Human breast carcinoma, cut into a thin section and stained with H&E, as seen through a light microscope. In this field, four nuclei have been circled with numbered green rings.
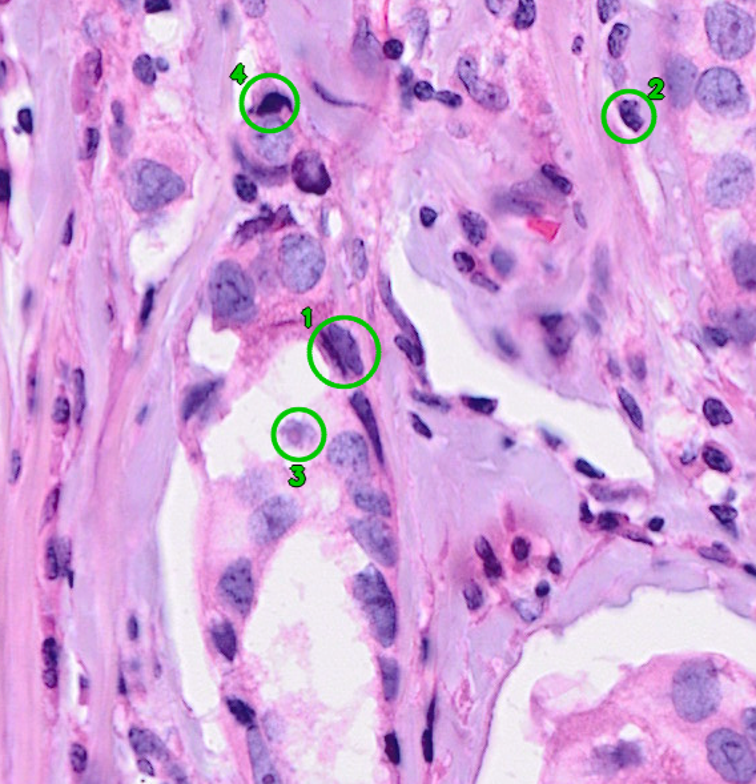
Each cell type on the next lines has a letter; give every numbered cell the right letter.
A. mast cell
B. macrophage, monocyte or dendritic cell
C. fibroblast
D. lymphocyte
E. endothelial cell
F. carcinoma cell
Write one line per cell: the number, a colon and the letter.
1: F
2: D
3: F
4: F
